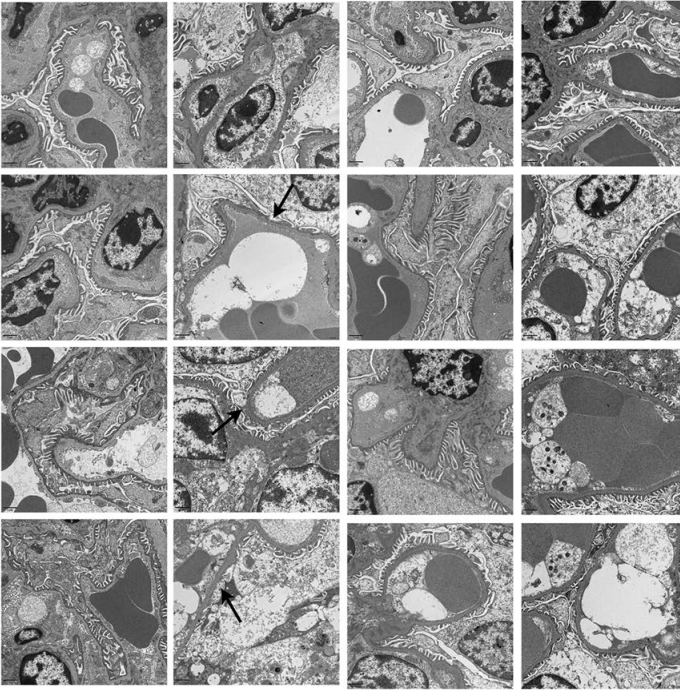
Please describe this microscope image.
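A grid of sixteen small electron micrographs of kidney glomerular capillary walls, with dark nuclei, capillary lumina containing dense red blood cells and a grey basement membrane line. In many tiles the outer side of the basement membrane bears a regular row of small foot processes separated by narrow slits. In some tiles, marked by arrows, this row is replaced by a continuous flattened cell layer along the membrane, where foot processes are fused or lost.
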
